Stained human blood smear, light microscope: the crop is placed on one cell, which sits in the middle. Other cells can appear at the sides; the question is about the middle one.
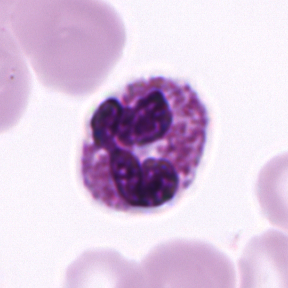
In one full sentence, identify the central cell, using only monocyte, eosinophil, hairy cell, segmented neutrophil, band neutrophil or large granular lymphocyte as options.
The cell in the middle of the field of view is an eosinophil.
